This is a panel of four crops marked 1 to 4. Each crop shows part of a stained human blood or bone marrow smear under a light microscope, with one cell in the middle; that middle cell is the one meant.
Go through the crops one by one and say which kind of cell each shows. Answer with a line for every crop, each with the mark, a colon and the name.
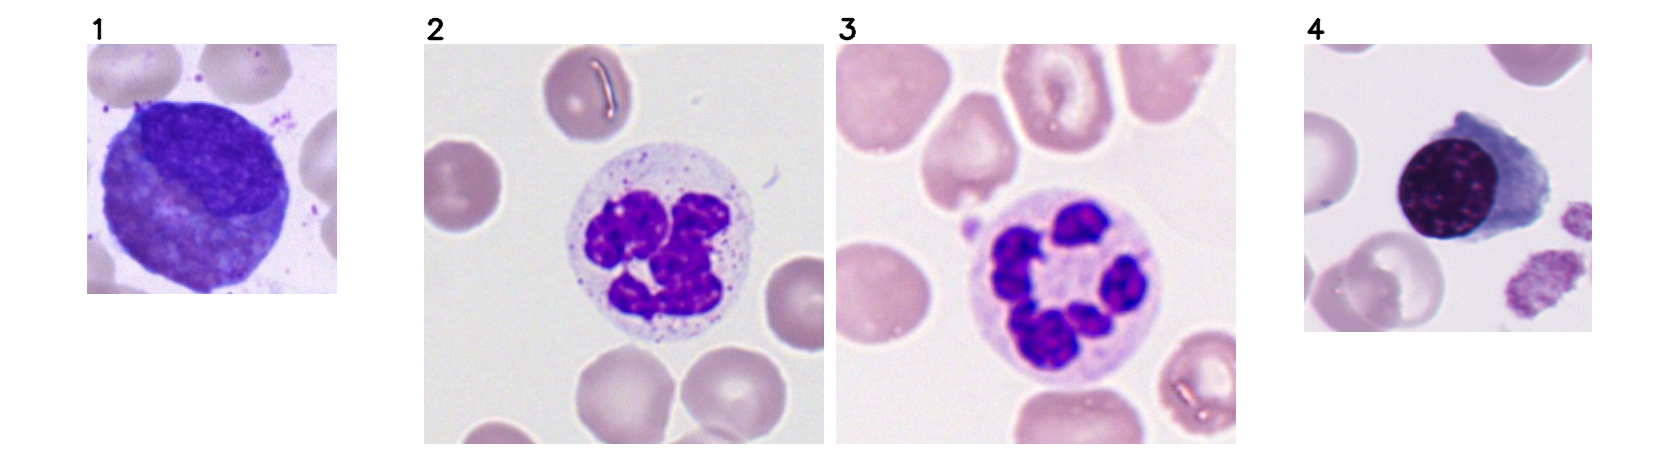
1: eosinophil
2: segmented neutrophil
3: segmented neutrophil
4: erythroblast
